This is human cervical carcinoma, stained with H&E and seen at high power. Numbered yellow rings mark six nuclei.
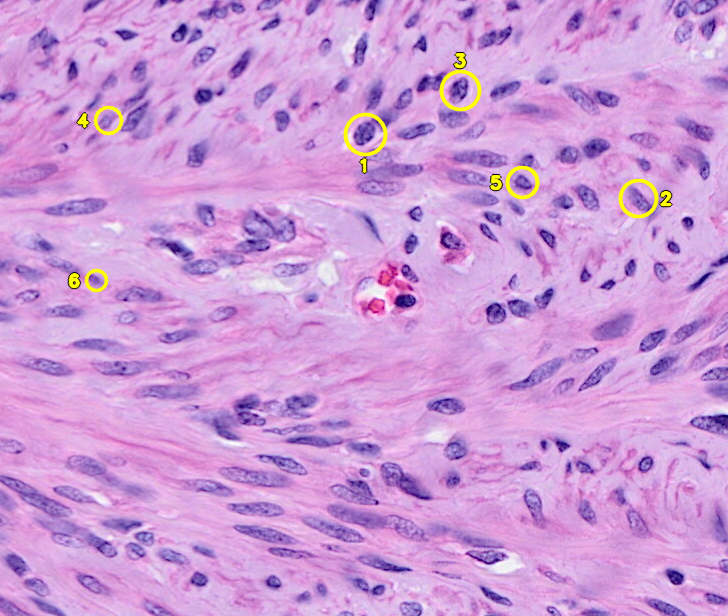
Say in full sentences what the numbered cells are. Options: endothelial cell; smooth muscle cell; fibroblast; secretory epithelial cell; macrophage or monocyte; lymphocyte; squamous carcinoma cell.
Cells 1 and 3 are lymphocytes. Cells 2, 4, 5 and 6 are smooth muscle cells.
